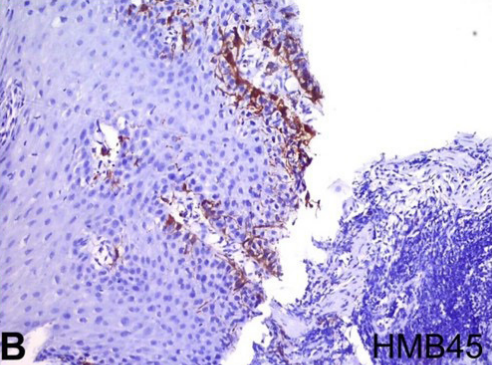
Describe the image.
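This field shows stratified squamous epithelium with scattered intraepithelial melanocytes stained brown. The melanocytes have slender branching, dendritic processes that extend between the unstained epithelial cells. The squamous cells have round to oval blue nuclei and pale cytoplasm, and they are arranged in layers. Some brown cells cluster around a small stromal papilla within the epithelium. At the lower right lies a stroma densely packed with small blue-nucleated cells that are unstained.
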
